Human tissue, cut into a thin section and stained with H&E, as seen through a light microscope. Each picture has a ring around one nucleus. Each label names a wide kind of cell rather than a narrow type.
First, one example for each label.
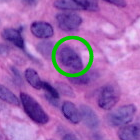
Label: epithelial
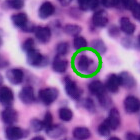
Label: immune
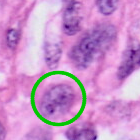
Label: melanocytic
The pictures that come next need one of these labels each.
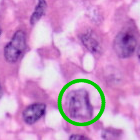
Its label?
melanocytic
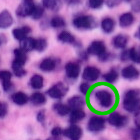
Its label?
immune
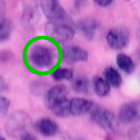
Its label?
immune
